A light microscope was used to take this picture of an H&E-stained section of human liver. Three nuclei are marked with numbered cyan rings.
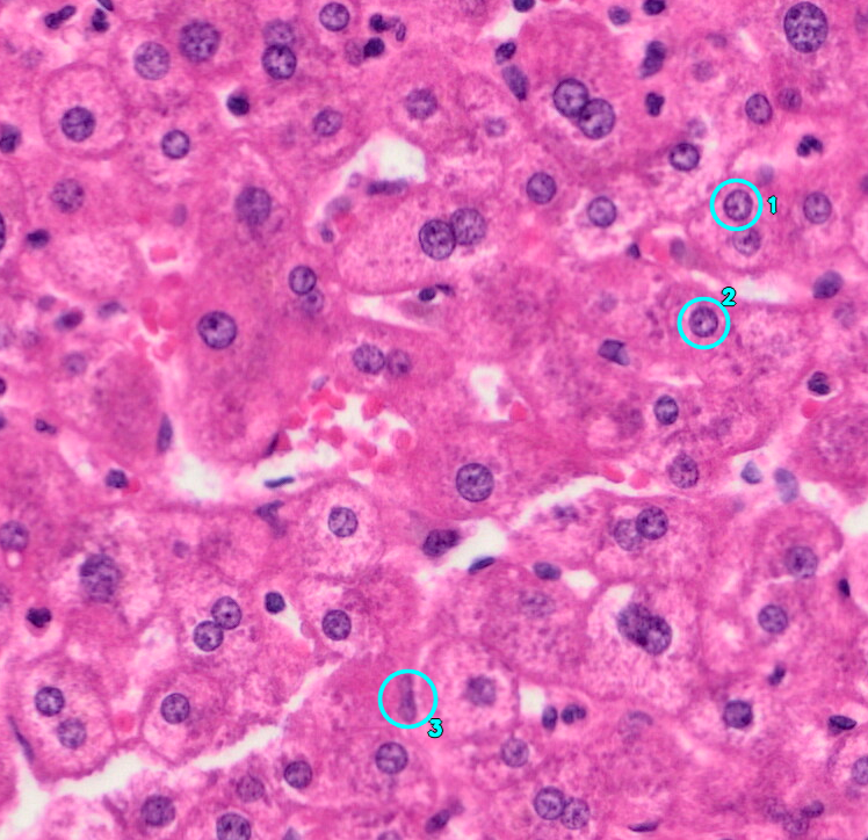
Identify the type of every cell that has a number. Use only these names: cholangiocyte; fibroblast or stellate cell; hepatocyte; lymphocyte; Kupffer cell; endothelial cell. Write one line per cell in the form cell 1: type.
cell 1: hepatocyte
cell 2: hepatocyte
cell 3: Kupffer cell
